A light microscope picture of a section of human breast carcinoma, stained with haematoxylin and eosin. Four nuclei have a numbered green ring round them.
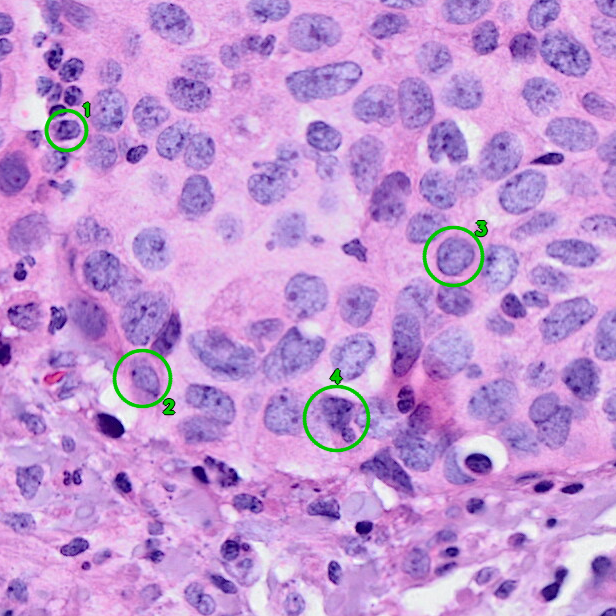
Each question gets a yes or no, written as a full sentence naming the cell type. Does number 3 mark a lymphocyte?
No, cell 3 counts as a carcinoma cell rather than as a lymphocyte.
